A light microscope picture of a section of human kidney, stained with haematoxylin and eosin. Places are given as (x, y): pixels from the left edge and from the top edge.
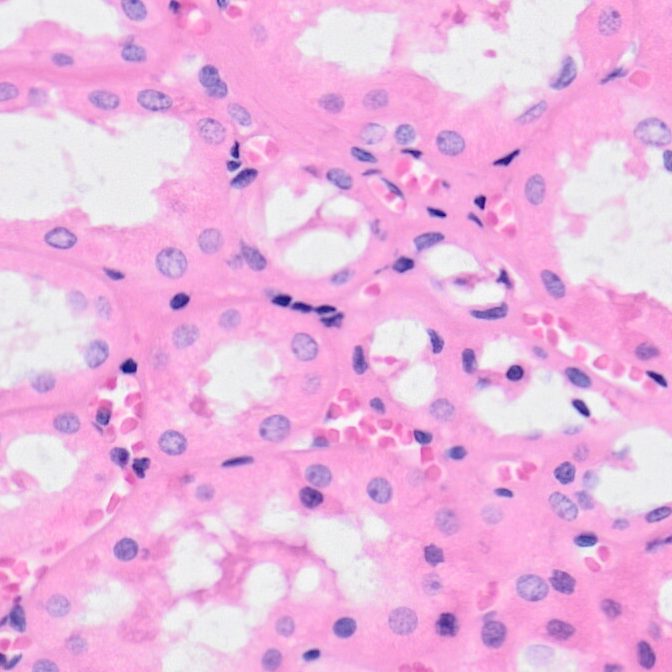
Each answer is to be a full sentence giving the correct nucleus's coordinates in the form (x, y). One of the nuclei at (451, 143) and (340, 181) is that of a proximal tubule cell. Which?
It is the nucleus at (451, 143), not the other one, that belongs to a proximal tubule cell.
